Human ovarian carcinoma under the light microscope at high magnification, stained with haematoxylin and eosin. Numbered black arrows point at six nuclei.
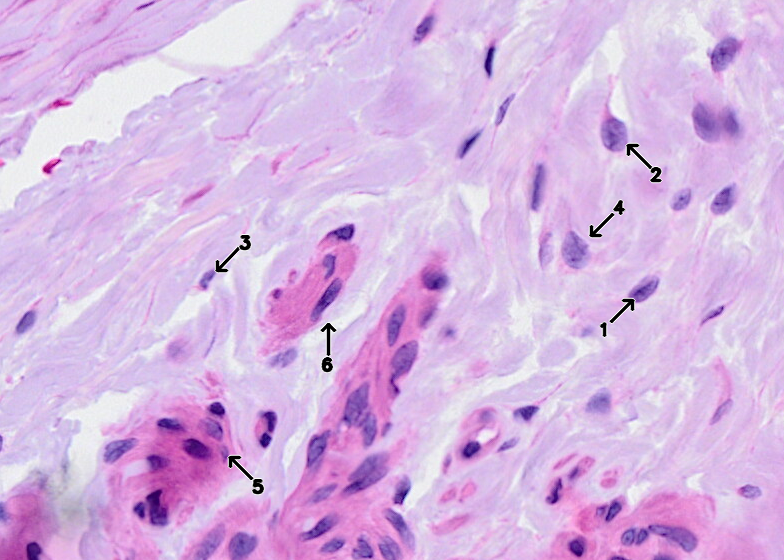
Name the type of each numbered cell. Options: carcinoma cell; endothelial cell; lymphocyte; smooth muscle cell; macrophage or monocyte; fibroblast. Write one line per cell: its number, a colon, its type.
1: fibroblast
2: fibroblast
3: fibroblast
4: fibroblast
5: smooth muscle cell
6: smooth muscle cell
